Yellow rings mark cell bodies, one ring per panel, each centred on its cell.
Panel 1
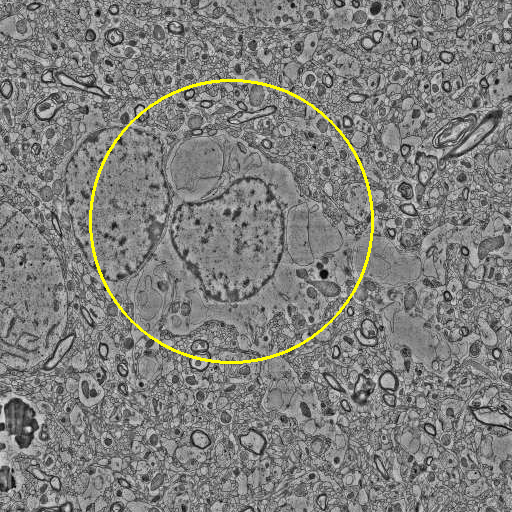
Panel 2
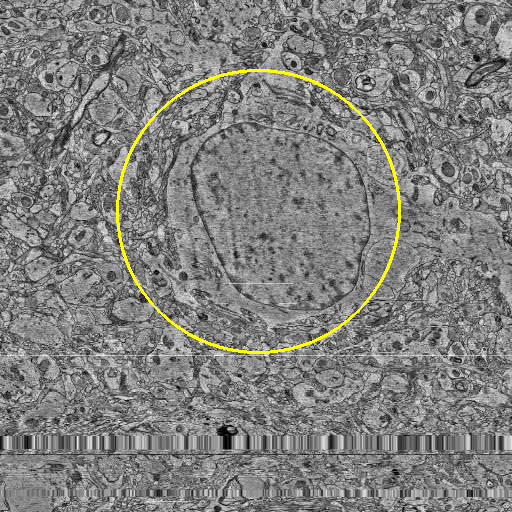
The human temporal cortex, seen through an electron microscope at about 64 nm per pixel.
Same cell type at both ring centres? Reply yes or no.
yes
